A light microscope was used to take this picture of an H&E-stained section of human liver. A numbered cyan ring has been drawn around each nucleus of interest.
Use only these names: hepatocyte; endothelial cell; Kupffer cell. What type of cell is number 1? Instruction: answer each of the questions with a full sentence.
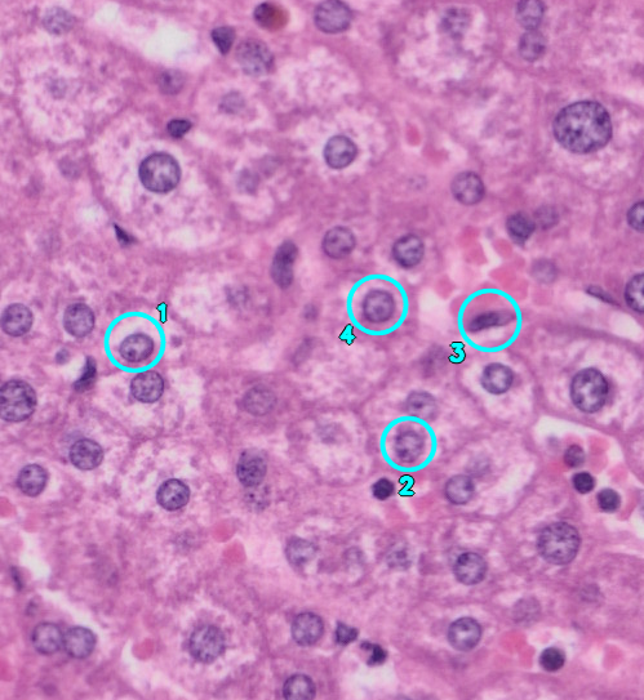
The cell referred to as 1 is a hepatocyte.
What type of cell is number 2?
To a hepatocyte belongs the nucleus marked 2.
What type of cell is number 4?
The numbered cell 4 in this field is a hepatocyte.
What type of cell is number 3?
Numbered cell 3 is a Kupffer cell in this tissue section.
